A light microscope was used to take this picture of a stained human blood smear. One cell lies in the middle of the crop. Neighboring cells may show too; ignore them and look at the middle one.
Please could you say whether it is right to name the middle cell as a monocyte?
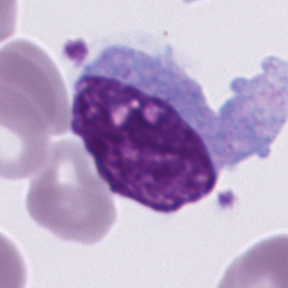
yes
